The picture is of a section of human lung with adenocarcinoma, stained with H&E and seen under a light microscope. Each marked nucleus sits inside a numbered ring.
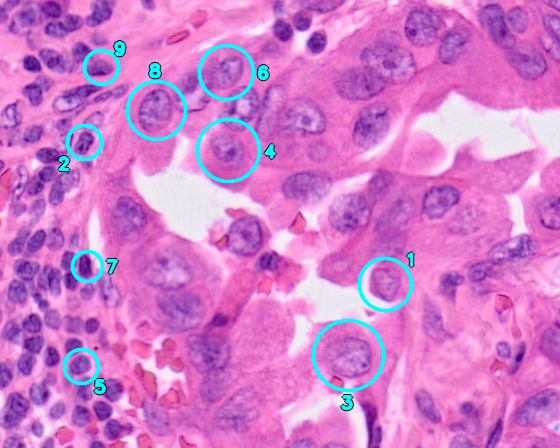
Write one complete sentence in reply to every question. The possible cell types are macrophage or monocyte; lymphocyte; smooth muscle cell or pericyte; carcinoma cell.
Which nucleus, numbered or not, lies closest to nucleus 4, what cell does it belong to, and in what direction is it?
Lying above nucleus 4, the nearest nucleus is that of a carcinoma cell.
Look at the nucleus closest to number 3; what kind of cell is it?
The nearest nucleus to number 3 belongs to a carcinoma cell.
